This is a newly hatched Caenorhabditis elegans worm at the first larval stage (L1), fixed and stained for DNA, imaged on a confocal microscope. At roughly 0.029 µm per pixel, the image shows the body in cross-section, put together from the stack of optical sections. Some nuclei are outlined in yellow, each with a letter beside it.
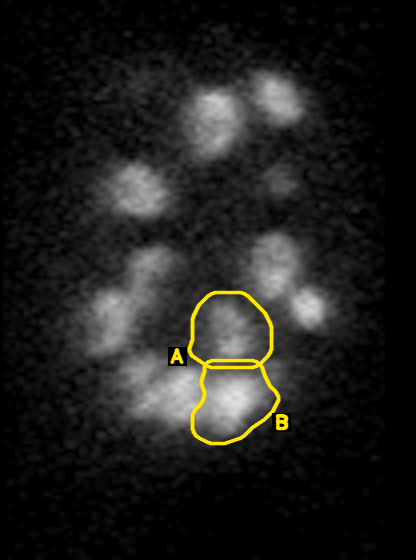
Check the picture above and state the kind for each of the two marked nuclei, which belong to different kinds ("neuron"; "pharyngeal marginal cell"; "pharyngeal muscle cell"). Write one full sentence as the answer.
A belongs to a pharyngeal marginal cell and B to a neuron.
